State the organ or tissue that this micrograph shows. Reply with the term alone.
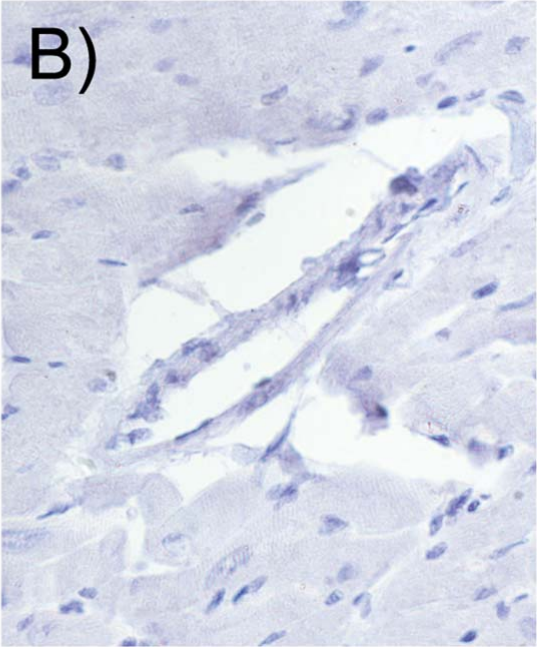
heart tissue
